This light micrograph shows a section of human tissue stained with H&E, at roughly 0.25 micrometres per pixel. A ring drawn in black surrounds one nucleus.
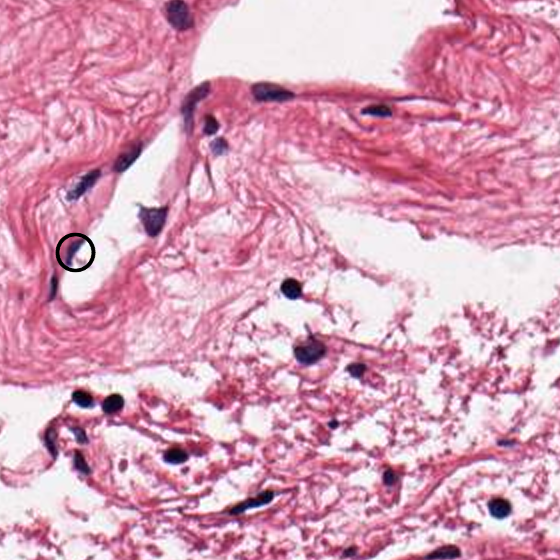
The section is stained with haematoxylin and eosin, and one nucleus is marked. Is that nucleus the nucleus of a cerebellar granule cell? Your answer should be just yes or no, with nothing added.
no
